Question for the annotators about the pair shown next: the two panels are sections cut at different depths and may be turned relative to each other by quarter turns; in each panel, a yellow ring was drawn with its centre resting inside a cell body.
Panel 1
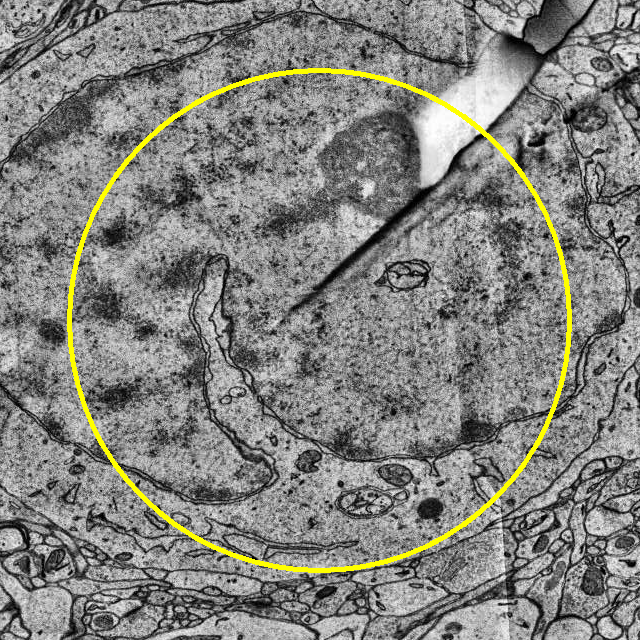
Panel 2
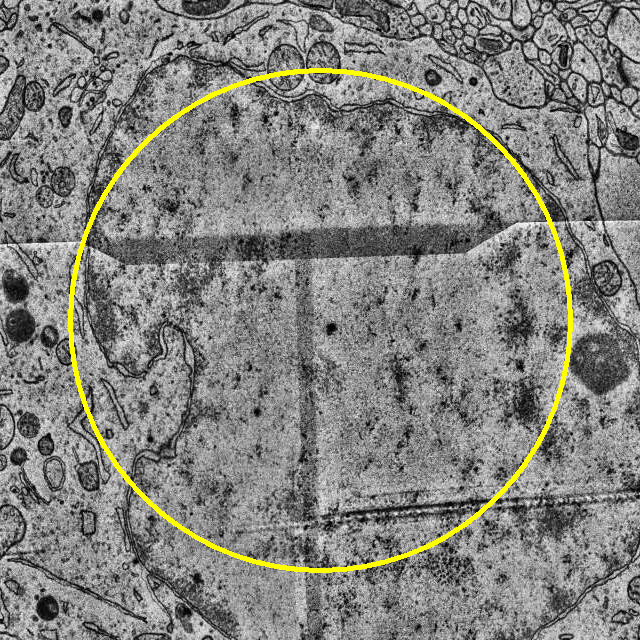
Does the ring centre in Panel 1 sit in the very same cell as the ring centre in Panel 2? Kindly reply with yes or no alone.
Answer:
no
